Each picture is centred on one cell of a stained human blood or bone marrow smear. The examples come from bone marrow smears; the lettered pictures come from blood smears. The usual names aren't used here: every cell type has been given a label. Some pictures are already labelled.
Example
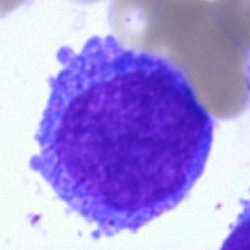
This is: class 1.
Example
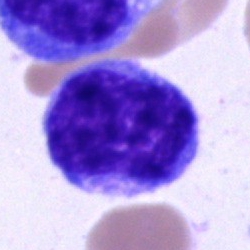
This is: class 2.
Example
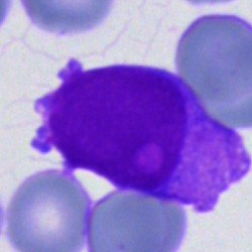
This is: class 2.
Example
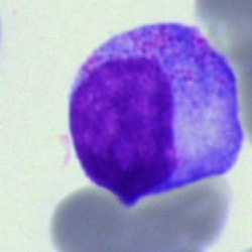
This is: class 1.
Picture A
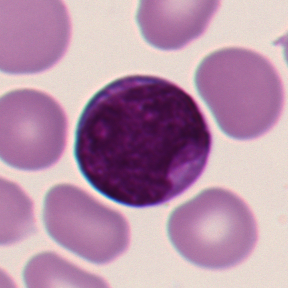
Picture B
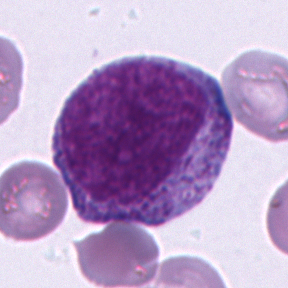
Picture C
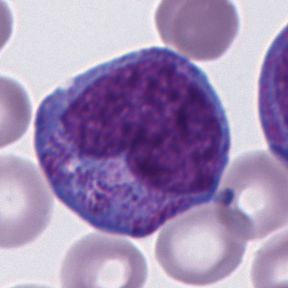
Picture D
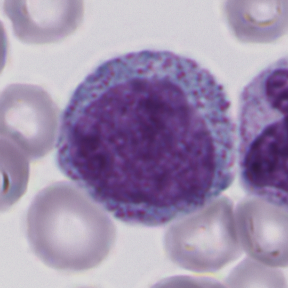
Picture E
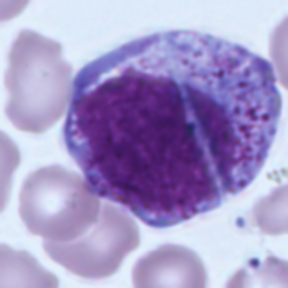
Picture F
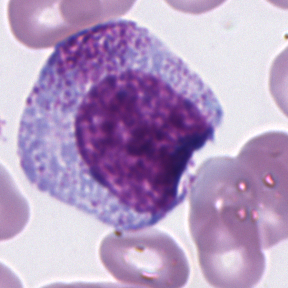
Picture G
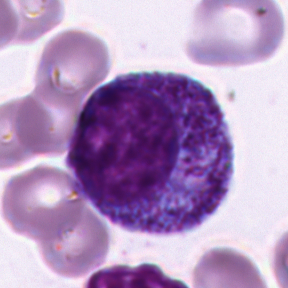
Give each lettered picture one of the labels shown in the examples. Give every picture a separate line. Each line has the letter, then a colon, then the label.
A: class 2.
B: class 1.
C: class 1.
D: class 1.
E: class 1.
F: class 1.
G: class 1.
